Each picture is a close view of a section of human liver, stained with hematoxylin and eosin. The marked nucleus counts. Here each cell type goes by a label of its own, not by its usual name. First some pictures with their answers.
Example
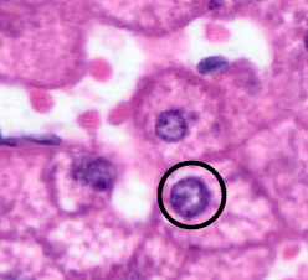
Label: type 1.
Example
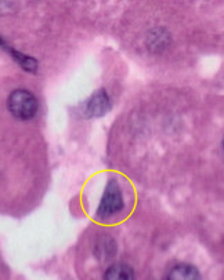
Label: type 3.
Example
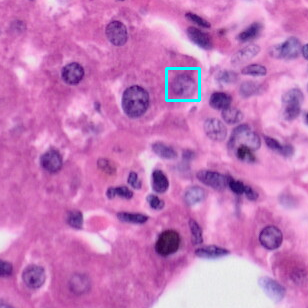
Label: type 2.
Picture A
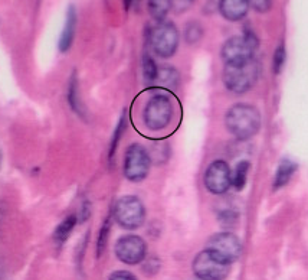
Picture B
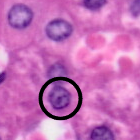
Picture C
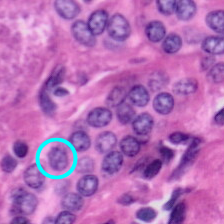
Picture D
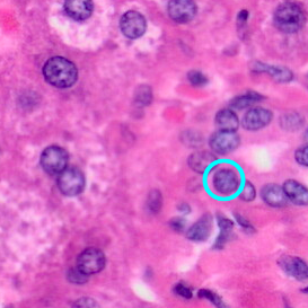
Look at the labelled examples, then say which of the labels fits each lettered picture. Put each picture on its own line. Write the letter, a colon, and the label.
A: type 2.
B: type 1.
C: type 2.
D: type 2.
